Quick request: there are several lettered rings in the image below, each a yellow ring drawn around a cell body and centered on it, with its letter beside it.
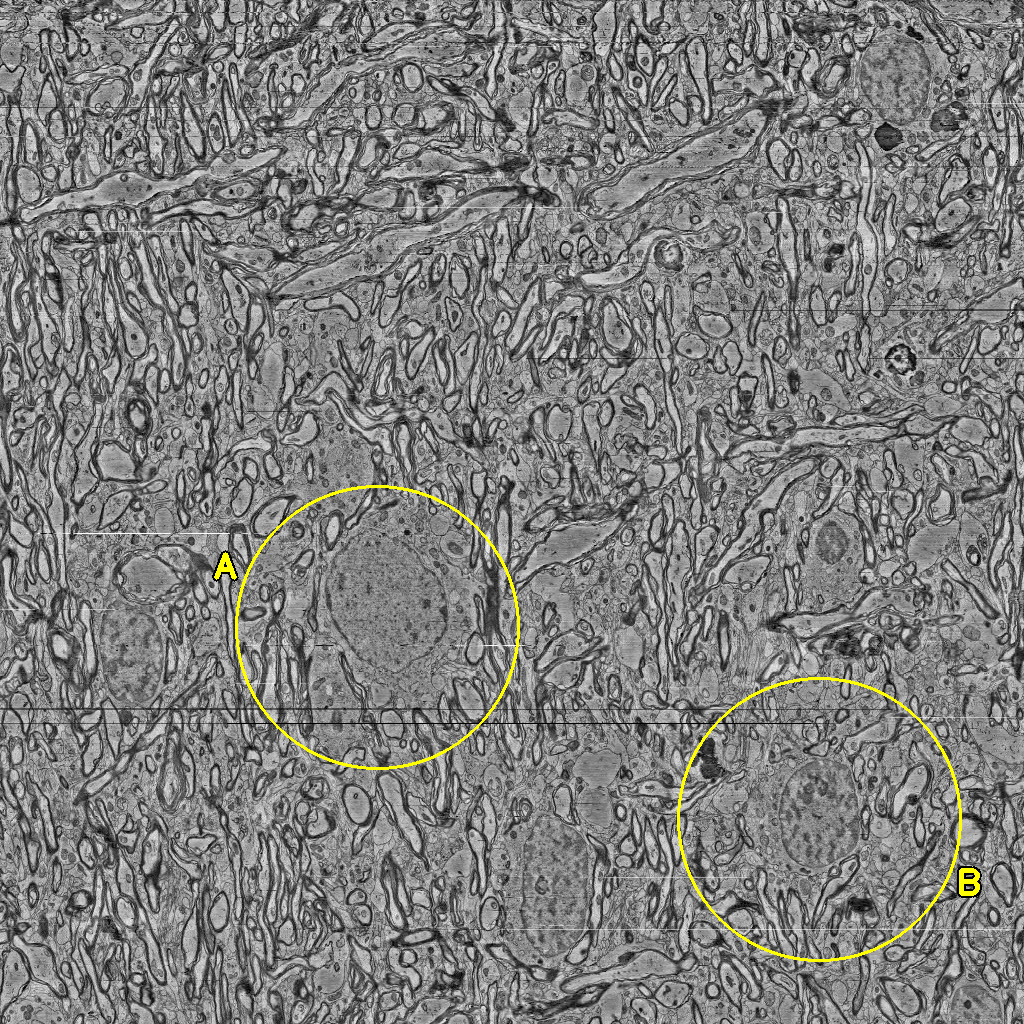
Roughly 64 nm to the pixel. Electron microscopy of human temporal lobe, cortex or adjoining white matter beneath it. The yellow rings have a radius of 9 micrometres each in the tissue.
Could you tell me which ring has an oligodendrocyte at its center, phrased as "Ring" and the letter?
Ring B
